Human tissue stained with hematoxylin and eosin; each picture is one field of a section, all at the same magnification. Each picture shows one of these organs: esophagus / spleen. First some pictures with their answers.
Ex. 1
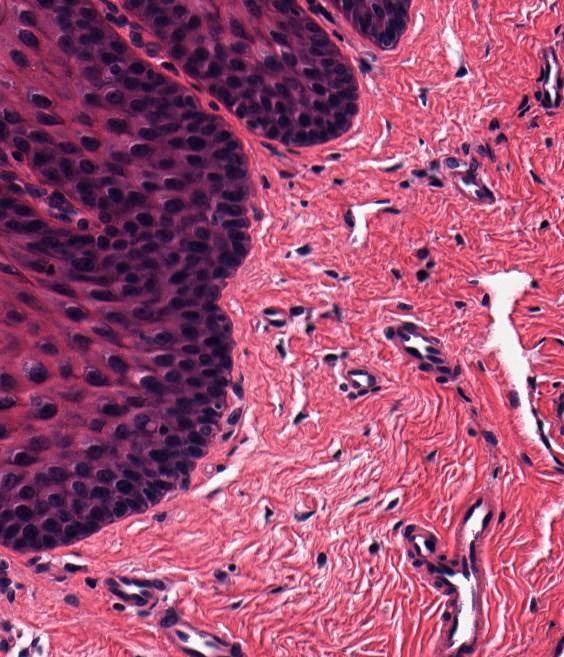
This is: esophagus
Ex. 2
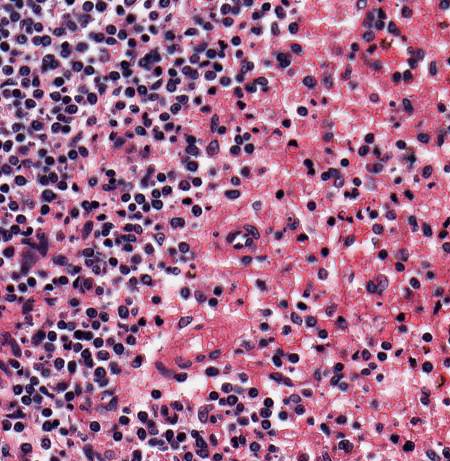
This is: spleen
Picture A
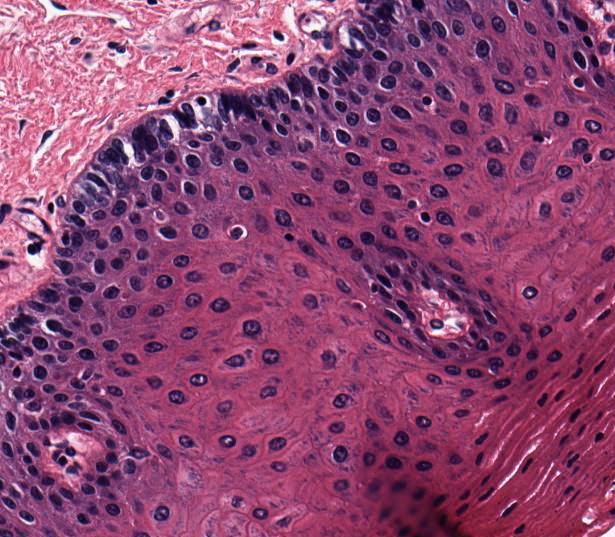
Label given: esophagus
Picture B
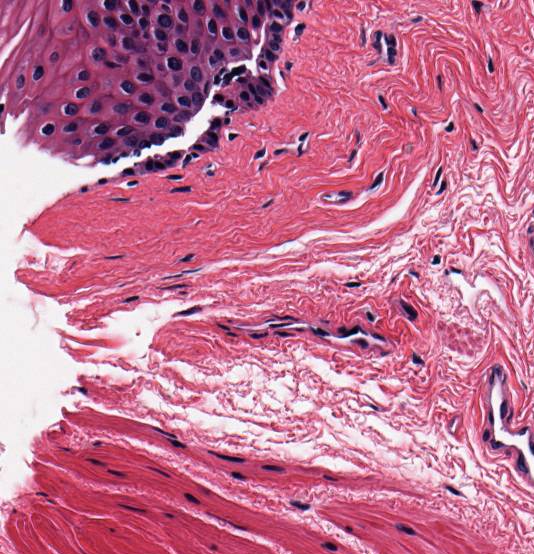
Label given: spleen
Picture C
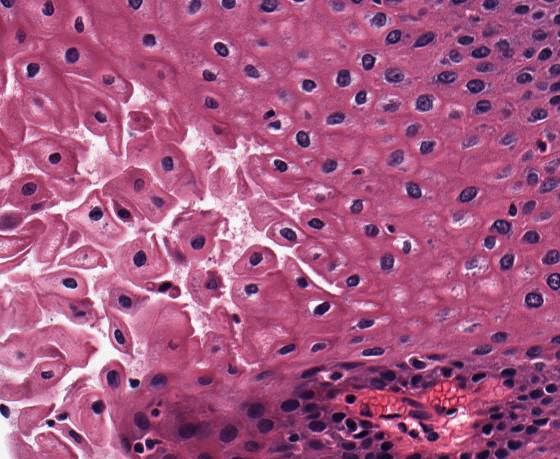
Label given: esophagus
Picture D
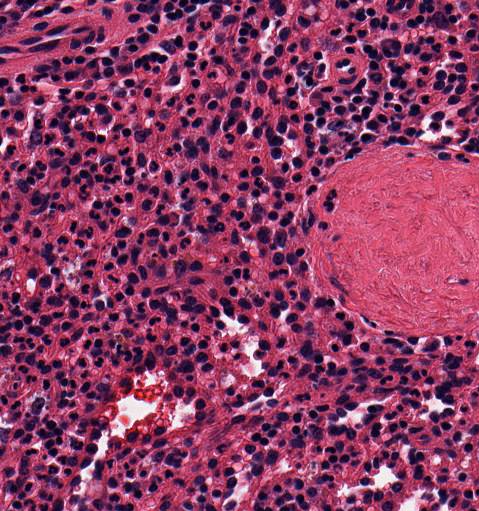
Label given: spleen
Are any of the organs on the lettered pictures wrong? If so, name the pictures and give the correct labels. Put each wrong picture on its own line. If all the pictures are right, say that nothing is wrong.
B is labelled spleen; correct label: esophagus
